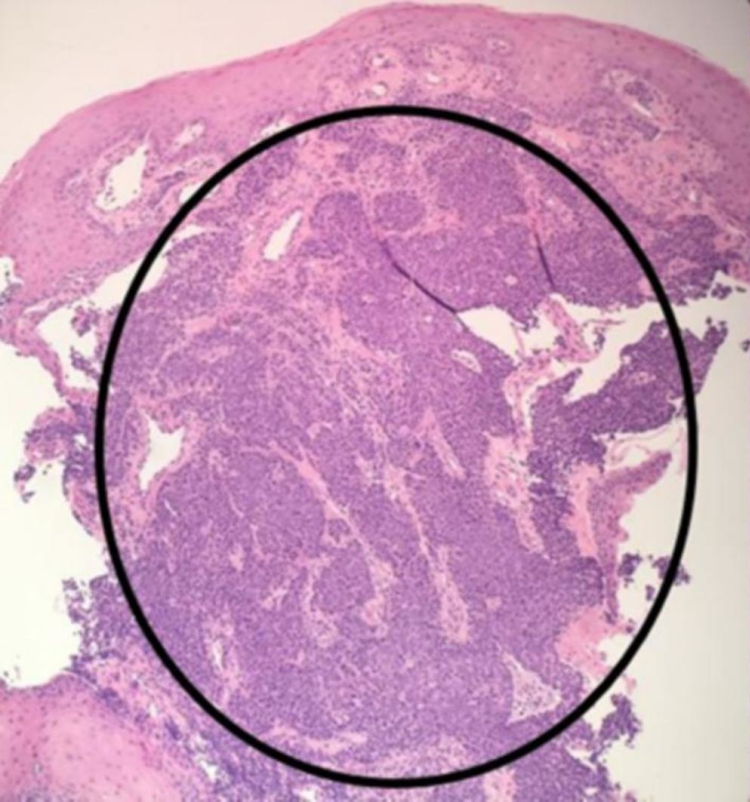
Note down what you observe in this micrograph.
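Beneath a pink non-keratinized stratified squamous epithelium lies a large mass of densely packed, dark purple tumor cells. The tumor cells form lobules and islands in an organoid pattern separated by thin strands of pink stroma. Small clefts and spaces run between the tumor islands.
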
